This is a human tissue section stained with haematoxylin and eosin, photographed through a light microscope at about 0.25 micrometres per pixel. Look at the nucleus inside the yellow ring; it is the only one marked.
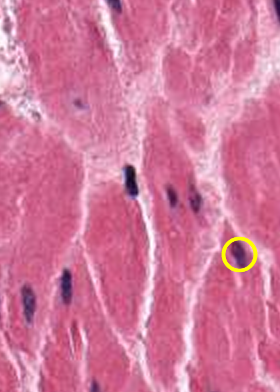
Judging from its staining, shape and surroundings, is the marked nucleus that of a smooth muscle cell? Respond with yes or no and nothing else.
yes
